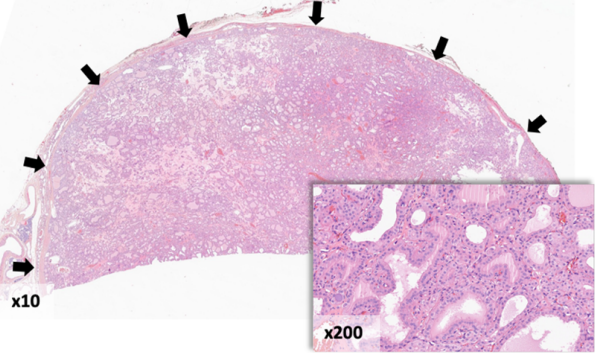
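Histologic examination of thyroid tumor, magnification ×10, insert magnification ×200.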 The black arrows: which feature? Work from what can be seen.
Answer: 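The black arrows point to a thin pink band along the edge of the nodule. The band runs around the curved outer border and separates the nodule from its surroundings. The answer: thin capsule.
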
